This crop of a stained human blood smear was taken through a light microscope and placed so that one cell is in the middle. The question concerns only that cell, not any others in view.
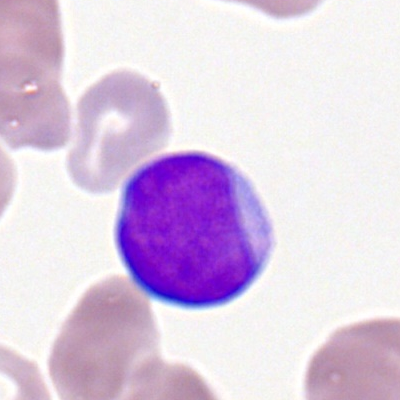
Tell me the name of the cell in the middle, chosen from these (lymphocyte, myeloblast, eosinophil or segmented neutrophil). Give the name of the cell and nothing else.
myeloblast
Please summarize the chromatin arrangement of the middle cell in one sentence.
The chromatin here is fine and lacks any coarse clumps.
